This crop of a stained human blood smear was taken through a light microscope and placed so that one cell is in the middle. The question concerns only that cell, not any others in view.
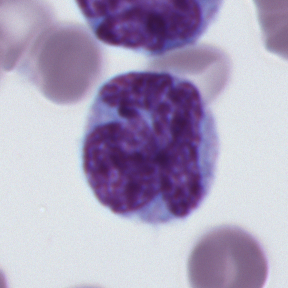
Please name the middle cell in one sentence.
For this crop, the cell in the middle is a monocyte.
